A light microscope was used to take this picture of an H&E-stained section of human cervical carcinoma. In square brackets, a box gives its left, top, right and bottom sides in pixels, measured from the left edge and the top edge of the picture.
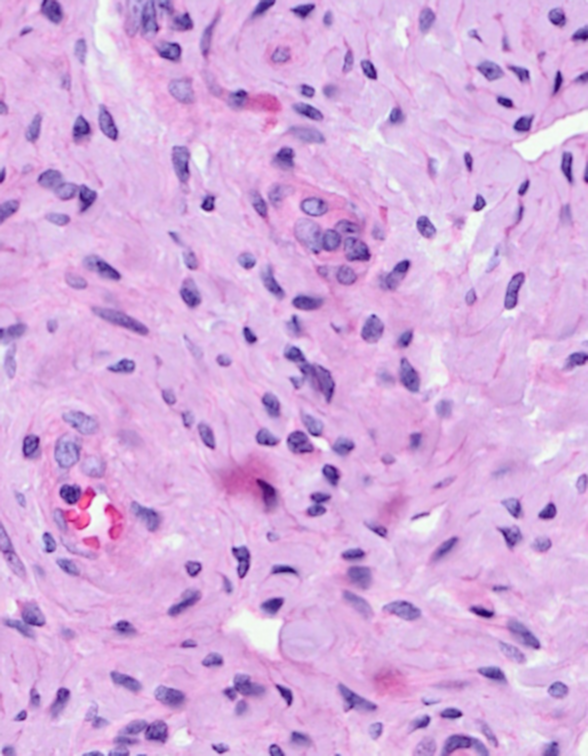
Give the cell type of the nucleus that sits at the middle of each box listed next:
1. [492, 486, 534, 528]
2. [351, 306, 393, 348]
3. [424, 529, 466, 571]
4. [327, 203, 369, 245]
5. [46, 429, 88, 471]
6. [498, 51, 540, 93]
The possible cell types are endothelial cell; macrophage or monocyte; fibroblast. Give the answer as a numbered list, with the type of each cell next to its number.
1. fibroblast
2. fibroblast
3. fibroblast
4. endothelial cell
5. endothelial cell
6. fibroblast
